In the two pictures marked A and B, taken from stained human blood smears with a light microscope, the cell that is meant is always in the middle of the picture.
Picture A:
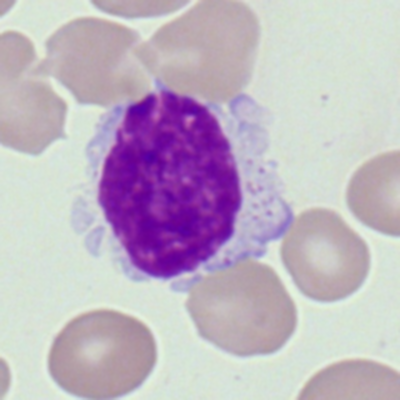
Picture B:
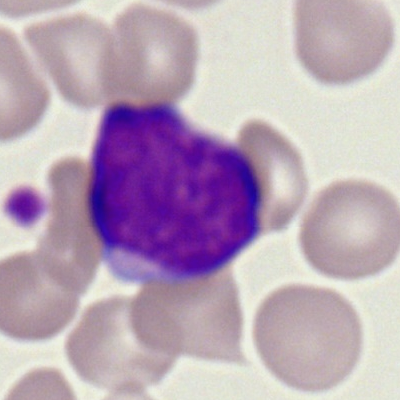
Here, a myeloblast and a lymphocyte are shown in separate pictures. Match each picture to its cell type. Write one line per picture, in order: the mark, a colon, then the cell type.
A: lymphocyte
B: myeloblast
